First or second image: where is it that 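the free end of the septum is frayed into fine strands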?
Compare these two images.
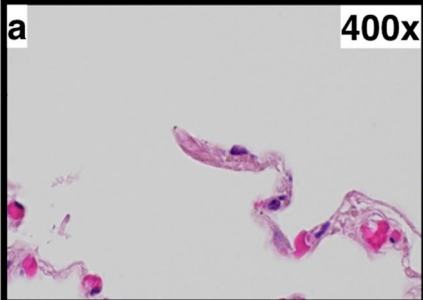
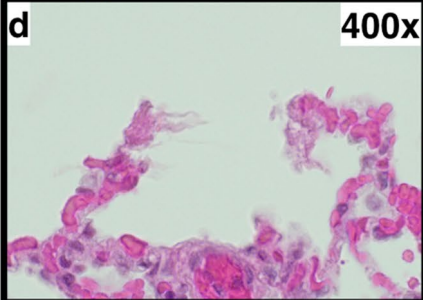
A: The second image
